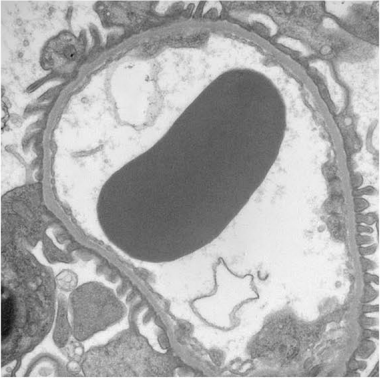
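A glomerular capillary loop is seen in cross-section, its lumen holding a large, uniformly dark, oval red cell. The lumen is encircled by a thin, even basement membrane, on whose outer face numerous small podocyte foot processes stand in a regular row like the teeth of a comb.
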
